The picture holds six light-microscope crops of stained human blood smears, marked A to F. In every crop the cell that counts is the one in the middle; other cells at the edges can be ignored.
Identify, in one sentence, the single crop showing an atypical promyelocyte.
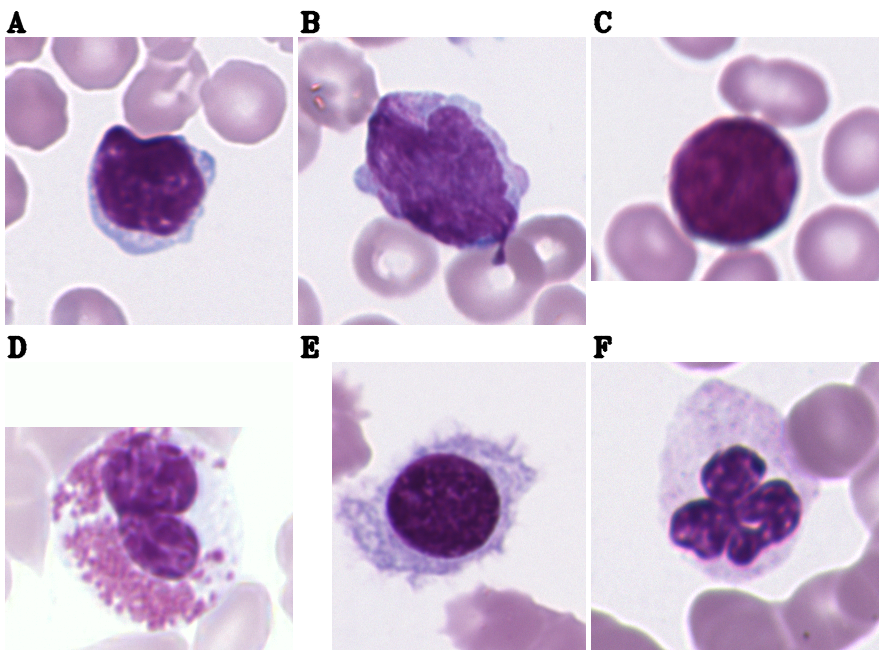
Among the crops given, only crop B shows an atypical promyelocyte.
